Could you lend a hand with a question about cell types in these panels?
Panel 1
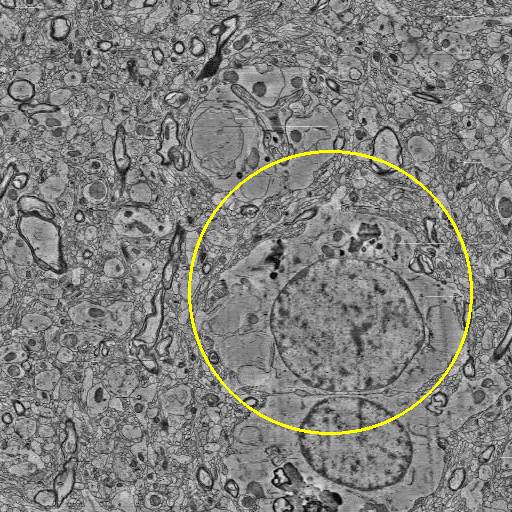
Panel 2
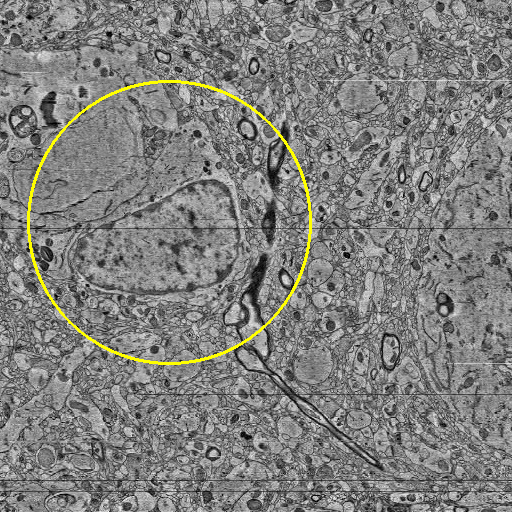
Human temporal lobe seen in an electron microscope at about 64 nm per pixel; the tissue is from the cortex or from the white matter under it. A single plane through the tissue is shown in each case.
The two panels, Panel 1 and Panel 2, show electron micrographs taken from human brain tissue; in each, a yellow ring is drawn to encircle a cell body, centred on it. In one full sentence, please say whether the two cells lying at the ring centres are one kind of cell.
No, the cells at the ring centres in the two panels are two kinds of cell.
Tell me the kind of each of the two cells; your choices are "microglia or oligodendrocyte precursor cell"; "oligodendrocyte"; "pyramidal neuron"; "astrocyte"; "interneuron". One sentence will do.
The ringed cell is an astrocyte in the first picture and a microglial cell or oligodendrocyte precursor cell in the second picture.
